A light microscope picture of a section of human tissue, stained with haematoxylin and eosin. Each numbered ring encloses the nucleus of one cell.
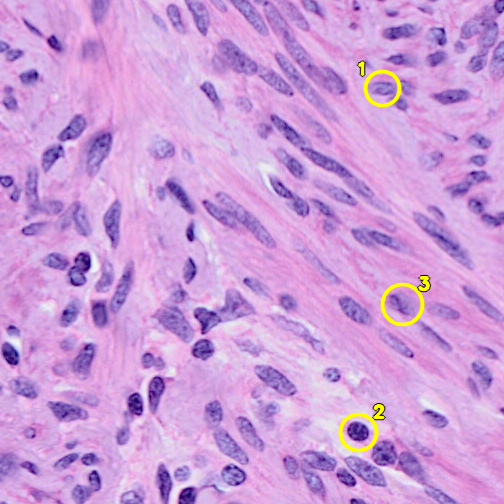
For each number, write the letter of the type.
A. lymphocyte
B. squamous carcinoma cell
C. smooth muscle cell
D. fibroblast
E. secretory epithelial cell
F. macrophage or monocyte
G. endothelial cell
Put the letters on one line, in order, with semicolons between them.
C; A; C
